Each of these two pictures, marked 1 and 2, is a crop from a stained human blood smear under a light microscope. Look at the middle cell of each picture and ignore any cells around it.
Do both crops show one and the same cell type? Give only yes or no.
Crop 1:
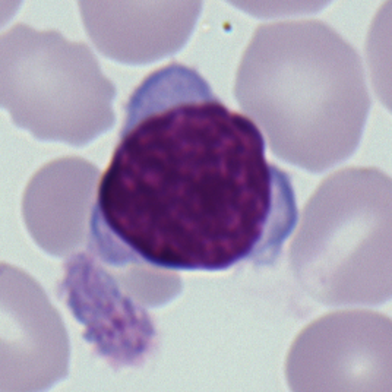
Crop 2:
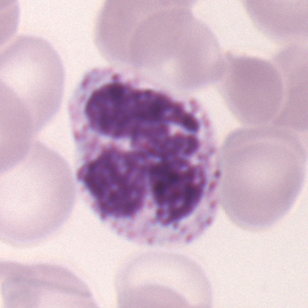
no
